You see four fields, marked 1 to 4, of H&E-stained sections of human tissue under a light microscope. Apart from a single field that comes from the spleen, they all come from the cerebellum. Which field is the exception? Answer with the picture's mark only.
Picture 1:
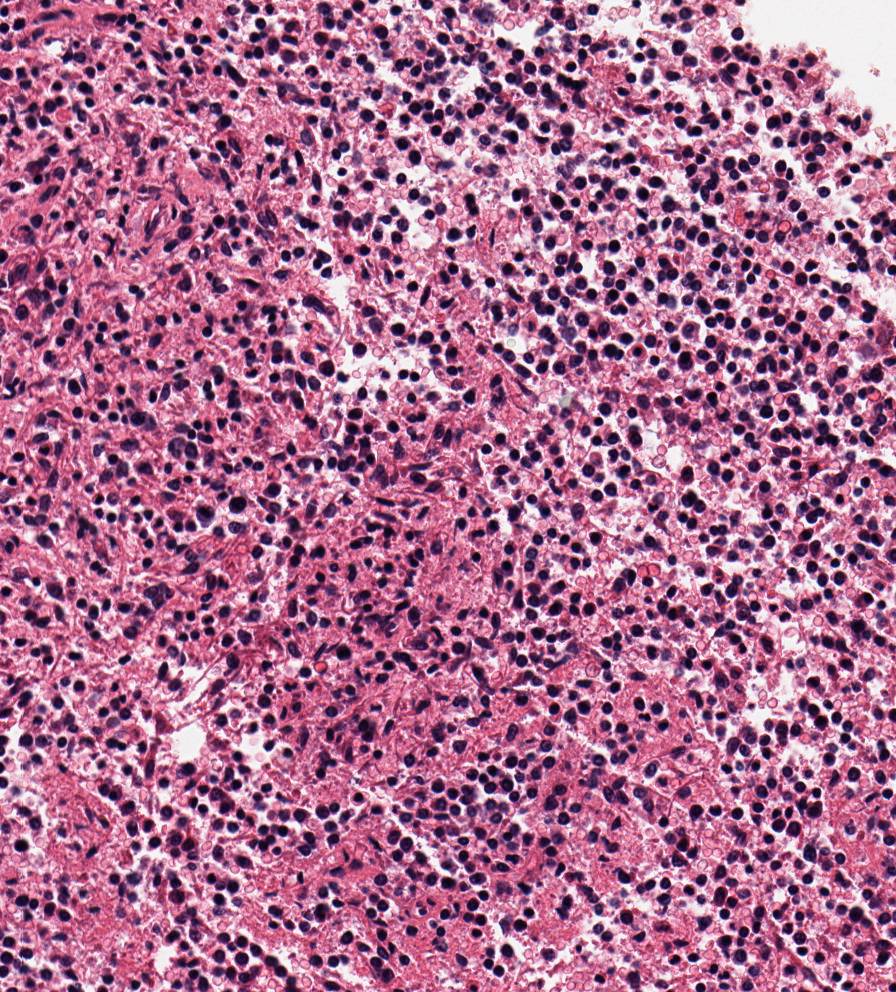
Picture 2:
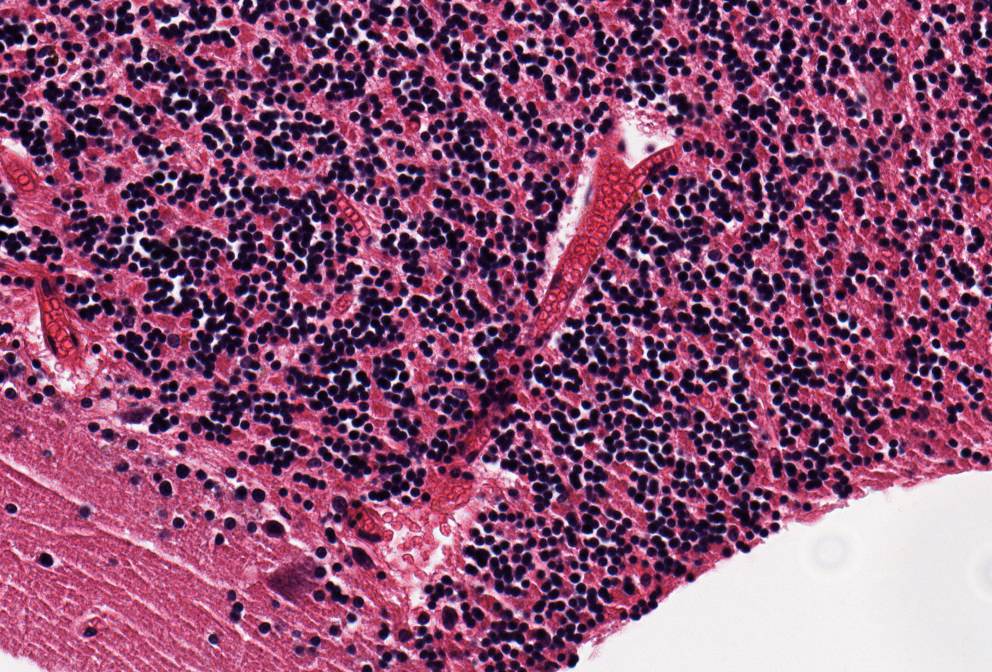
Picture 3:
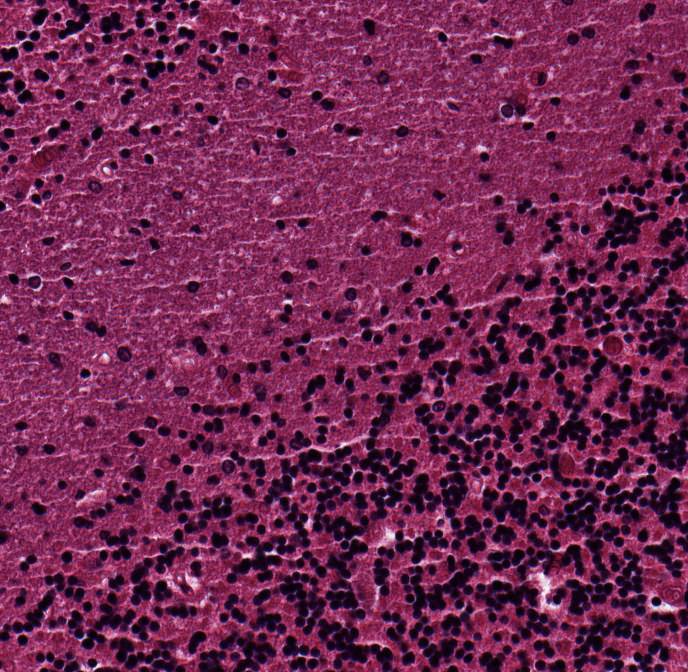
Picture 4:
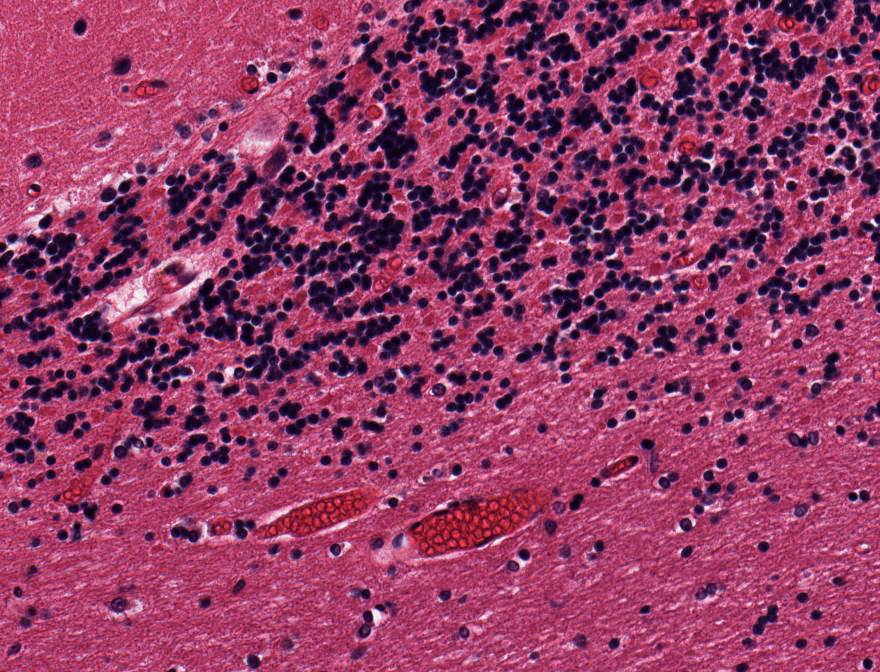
1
